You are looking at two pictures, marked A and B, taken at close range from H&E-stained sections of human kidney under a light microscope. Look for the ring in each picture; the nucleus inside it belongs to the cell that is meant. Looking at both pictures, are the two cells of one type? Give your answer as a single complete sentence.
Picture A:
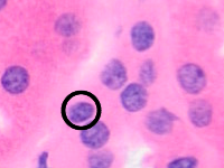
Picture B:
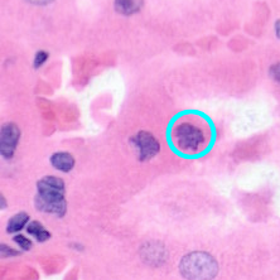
No; the cell in picture A is a collecting duct cell, while the one in picture B is a proximal tubule cell.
